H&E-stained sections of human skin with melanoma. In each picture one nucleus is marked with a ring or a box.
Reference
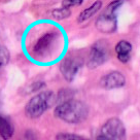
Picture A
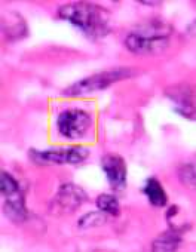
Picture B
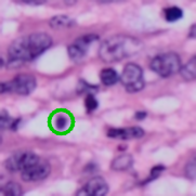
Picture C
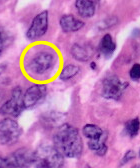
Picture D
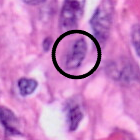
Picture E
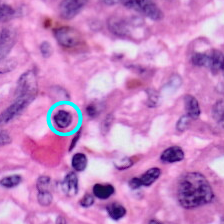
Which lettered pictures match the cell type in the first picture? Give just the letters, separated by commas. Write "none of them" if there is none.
C, D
